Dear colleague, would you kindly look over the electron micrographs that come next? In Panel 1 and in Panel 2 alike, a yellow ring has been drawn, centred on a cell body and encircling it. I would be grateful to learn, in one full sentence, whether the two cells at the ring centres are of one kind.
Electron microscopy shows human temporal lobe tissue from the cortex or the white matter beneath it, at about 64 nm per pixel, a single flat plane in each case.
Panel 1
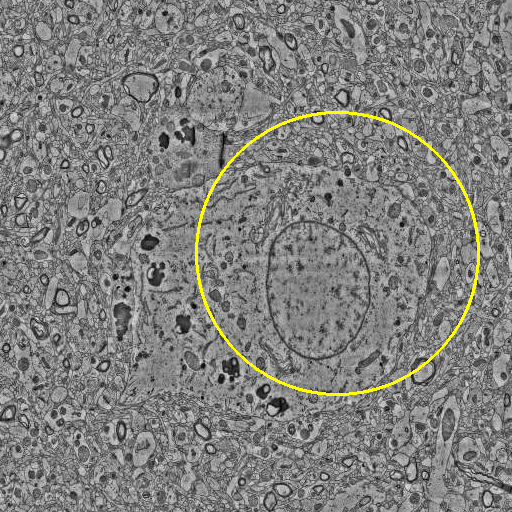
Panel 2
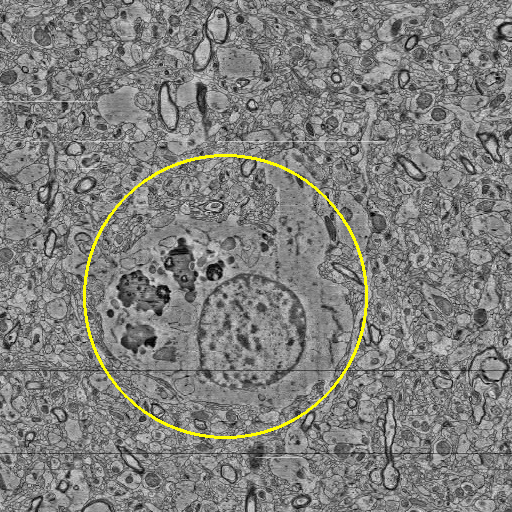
No, the cells in the middle of the rings in the two panels are of two kinds.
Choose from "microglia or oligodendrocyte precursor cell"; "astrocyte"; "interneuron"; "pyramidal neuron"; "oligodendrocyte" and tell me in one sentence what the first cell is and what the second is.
What the first ring is centred on is a pyramidal neuron; what the second ring is centred on is an astrocyte.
